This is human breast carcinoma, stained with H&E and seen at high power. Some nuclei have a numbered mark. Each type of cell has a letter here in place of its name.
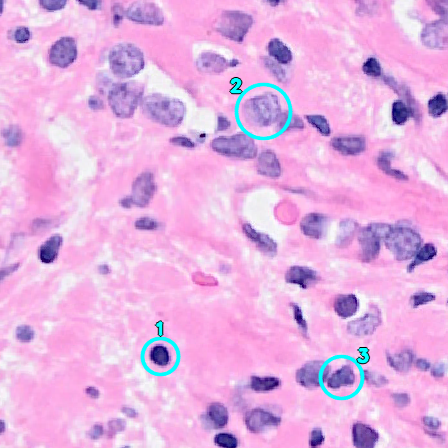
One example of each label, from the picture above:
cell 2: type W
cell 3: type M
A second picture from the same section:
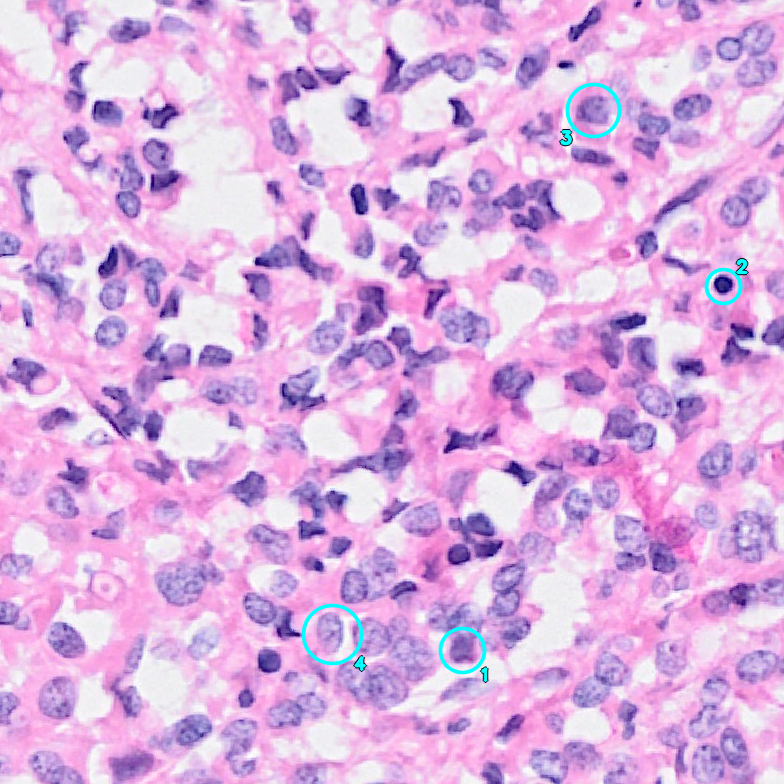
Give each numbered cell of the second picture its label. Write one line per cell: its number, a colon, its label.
1: type W
2: type M
3: type W
4: type W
